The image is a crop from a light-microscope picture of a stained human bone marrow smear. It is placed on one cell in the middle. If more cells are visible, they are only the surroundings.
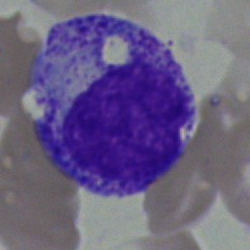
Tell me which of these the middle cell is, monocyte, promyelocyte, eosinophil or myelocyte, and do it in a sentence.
The cell at the heart of this crop is a myelocyte.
